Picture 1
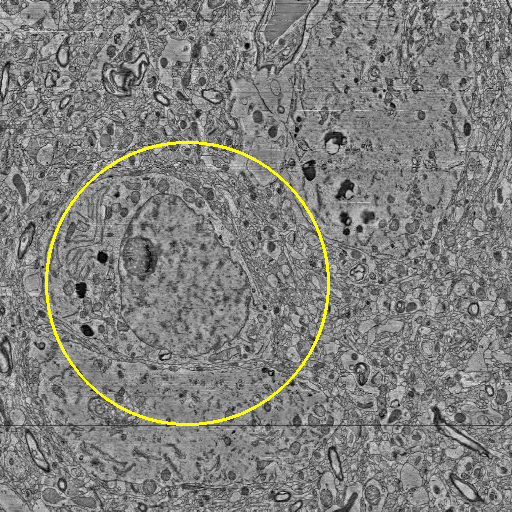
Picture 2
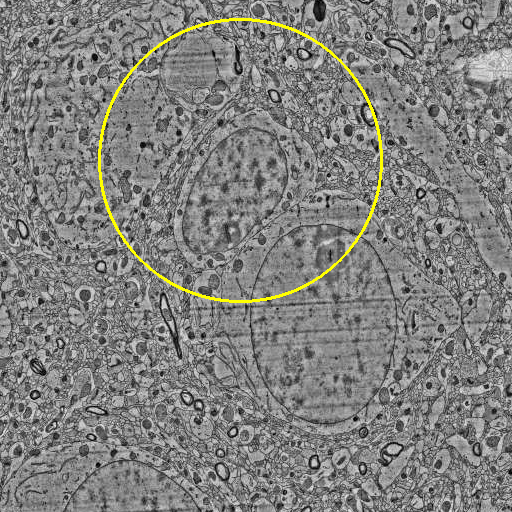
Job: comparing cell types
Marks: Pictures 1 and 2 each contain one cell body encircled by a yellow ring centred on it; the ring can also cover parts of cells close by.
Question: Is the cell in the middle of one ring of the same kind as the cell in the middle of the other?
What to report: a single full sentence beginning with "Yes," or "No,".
Yes, the cell at the ring centre in Picture 1 and its partner in Picture 2 are of one kind.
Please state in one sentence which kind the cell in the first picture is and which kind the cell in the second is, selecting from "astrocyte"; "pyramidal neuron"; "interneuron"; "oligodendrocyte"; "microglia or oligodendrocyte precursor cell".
Each of the ringed cells, first and second, is an interneuron.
